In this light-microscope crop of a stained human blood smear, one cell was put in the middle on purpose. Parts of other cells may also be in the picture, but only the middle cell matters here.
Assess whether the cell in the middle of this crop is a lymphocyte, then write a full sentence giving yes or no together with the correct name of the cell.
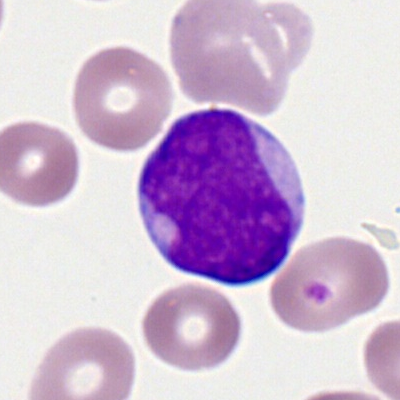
No, the cell at the centre is identified as a myeloblast, not as a lymphocyte.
